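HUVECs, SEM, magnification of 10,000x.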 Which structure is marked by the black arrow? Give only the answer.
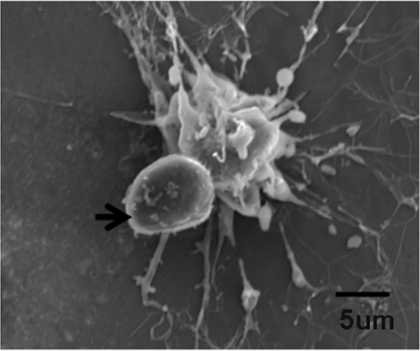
Apoptotic body.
